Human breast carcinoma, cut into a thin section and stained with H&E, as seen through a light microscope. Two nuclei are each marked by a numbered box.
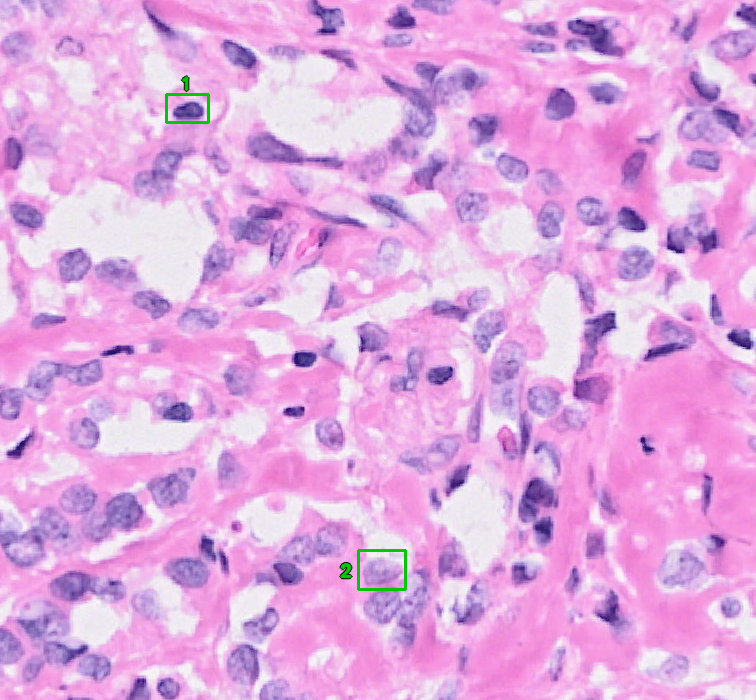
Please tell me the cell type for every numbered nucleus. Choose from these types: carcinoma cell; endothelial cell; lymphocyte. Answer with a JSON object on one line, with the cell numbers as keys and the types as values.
{"1": "lymphocyte", "2": "carcinoma cell"}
